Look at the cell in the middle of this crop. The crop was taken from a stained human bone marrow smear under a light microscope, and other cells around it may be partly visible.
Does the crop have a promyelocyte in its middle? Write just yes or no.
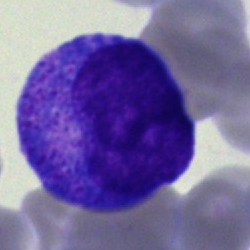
yes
